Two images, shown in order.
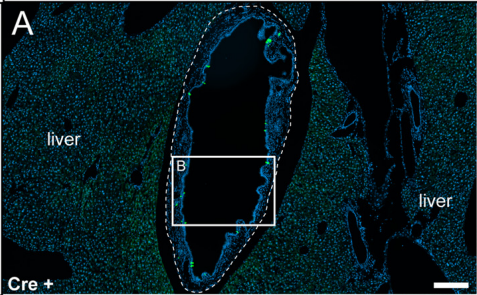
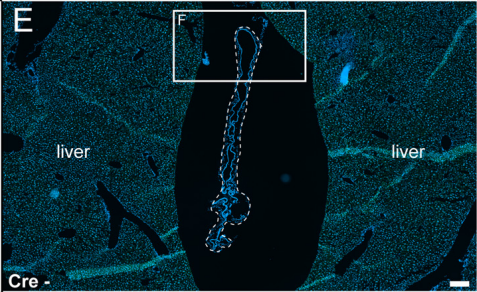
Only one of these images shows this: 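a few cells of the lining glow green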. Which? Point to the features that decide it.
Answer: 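Second image: the outlined wall shows only blue nuclei, with no green spots. First image: scattered small green spots lie along the outlined wall.
Answer: the first image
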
